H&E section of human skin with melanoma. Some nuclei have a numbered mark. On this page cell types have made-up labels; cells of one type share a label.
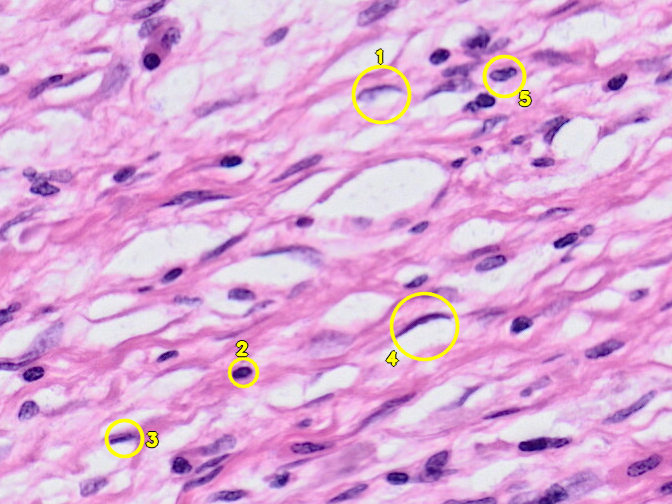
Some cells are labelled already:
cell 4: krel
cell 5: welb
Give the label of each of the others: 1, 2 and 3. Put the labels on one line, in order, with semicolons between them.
krel; welb; krel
